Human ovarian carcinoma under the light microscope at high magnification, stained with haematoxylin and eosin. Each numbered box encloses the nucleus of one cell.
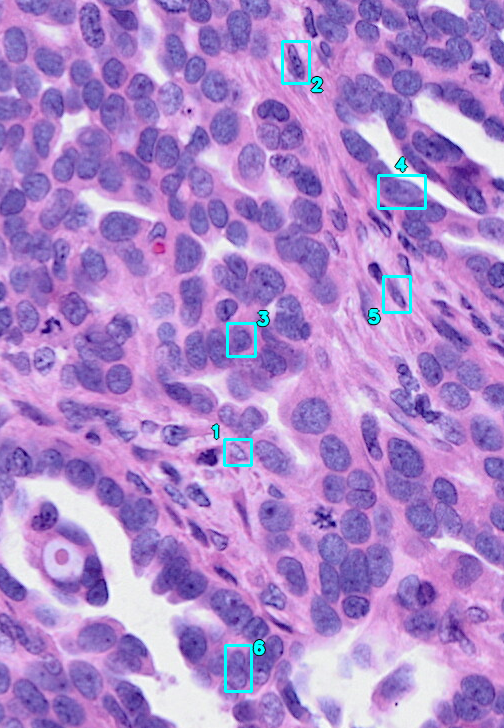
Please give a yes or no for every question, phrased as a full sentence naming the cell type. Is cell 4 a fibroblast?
No, the cell carrying number 4 is a carcinoma cell, not a fibroblast.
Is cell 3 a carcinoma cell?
Yes, it is a carcinoma cell that number 3 identifies.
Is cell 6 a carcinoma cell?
Yes, the numbered nucleus 6 is that of a carcinoma cell.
